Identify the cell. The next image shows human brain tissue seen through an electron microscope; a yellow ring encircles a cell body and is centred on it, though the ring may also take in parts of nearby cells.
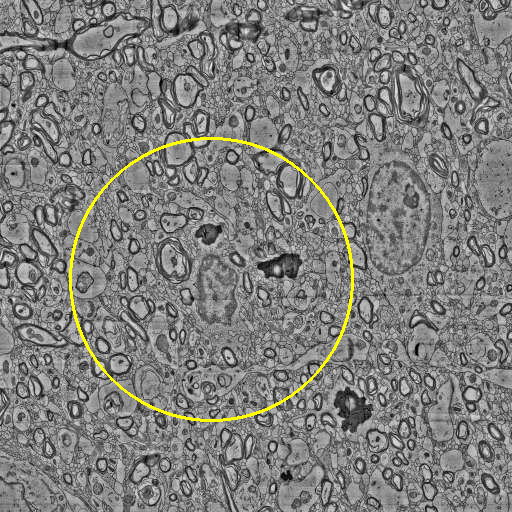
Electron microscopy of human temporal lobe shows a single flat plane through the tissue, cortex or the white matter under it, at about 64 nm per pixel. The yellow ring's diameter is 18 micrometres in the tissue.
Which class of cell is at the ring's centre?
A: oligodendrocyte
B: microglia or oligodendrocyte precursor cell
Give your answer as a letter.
A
